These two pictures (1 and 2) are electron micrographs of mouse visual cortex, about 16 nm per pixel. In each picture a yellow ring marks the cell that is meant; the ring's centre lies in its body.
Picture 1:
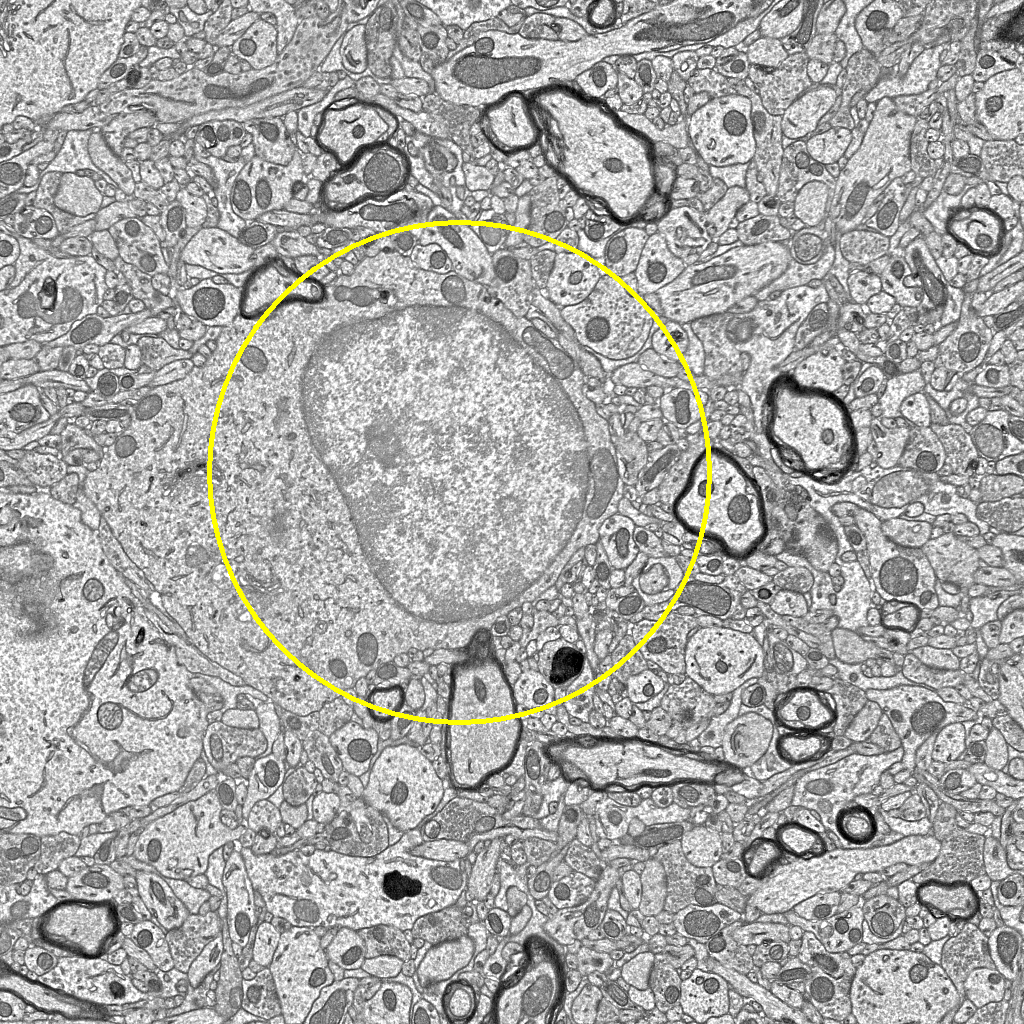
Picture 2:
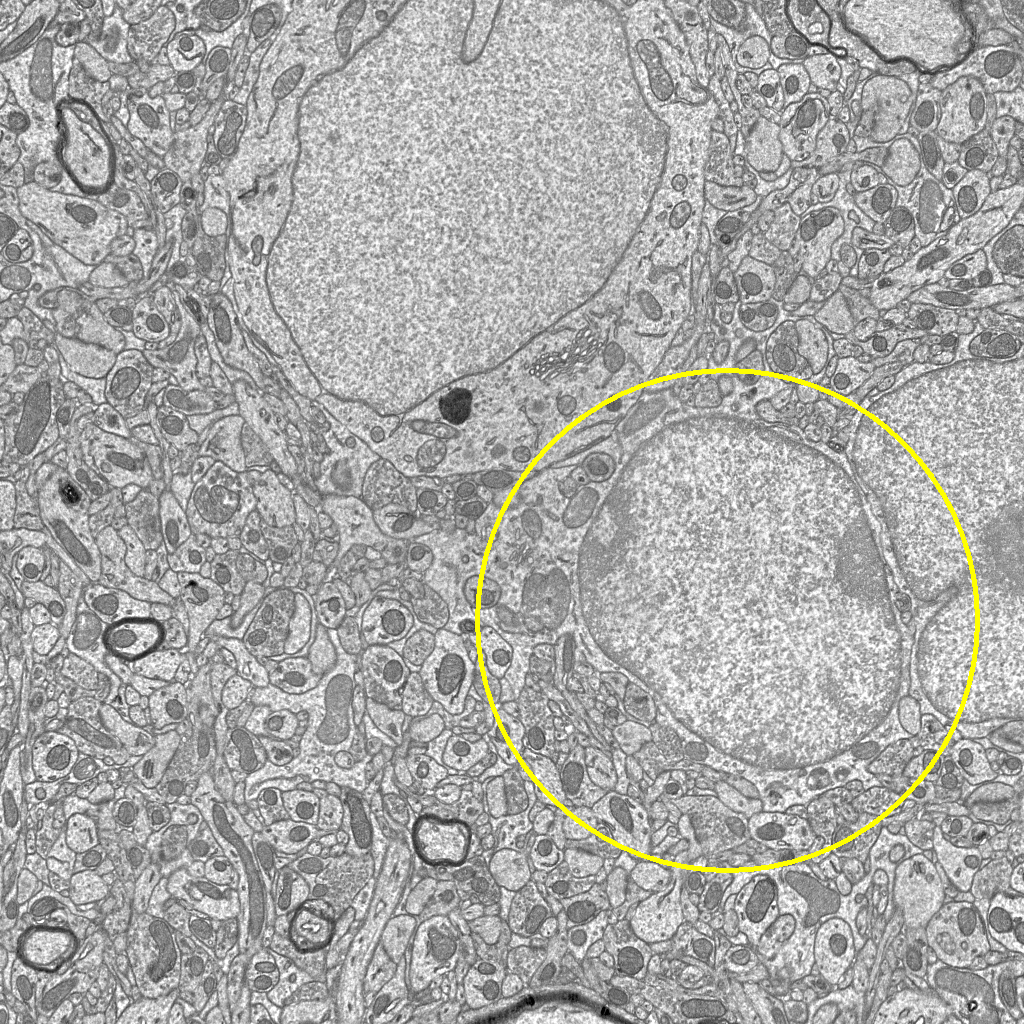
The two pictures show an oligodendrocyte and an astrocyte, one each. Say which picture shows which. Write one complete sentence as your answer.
Picture 1 is of an oligodendrocyte, and picture 2 is of an astrocyte.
